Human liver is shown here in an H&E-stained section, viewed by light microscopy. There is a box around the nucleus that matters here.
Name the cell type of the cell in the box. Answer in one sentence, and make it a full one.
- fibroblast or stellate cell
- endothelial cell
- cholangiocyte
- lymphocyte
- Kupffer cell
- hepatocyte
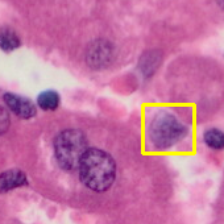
Speaking plainly, the cell in the box is nothing other than an endothelial cell.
